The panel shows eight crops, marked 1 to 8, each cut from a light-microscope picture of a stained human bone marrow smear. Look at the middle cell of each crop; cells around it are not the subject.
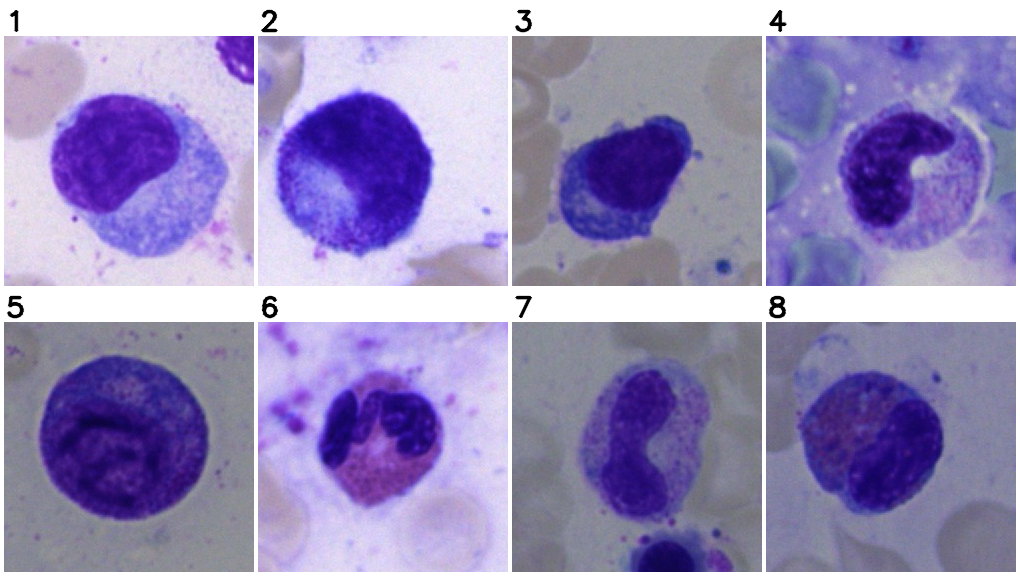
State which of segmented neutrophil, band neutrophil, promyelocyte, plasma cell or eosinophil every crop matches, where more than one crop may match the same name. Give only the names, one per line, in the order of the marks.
plasma cell
promyelocyte
plasma cell
band neutrophil
promyelocyte
eosinophil
band neutrophil
eosinophil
